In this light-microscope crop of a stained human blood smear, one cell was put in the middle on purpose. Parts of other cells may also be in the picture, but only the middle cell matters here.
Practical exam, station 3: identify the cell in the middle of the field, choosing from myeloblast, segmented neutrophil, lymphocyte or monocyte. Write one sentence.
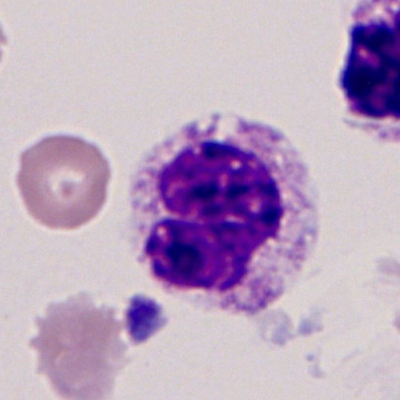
Within this crop, a segmented neutrophil occupies the central position.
